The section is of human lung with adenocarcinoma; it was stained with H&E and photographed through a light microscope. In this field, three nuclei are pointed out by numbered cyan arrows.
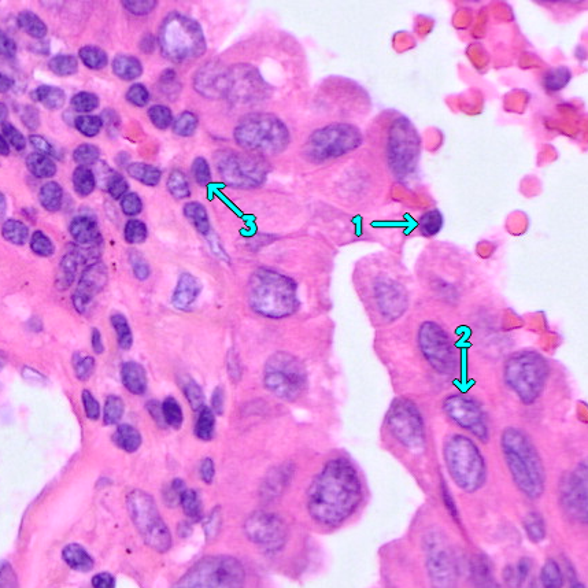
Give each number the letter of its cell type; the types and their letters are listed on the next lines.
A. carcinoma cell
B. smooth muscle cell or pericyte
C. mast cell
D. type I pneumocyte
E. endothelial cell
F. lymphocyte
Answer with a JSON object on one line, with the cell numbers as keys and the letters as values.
{"1": "F", "2": "A", "3": "F"}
